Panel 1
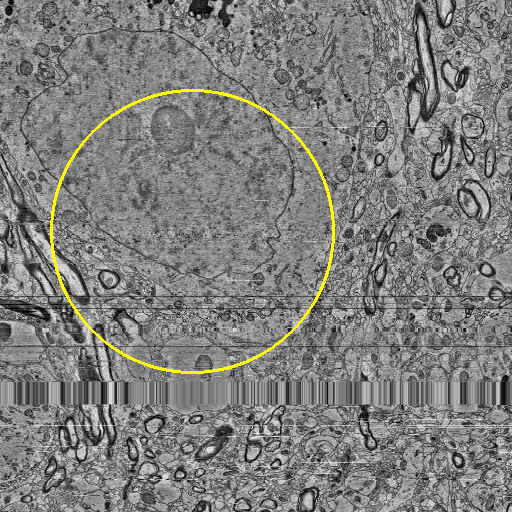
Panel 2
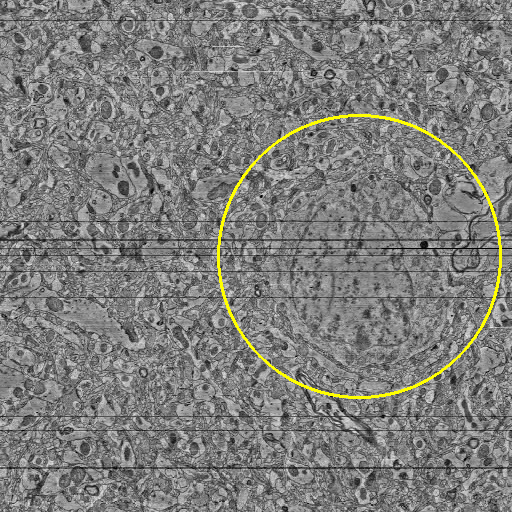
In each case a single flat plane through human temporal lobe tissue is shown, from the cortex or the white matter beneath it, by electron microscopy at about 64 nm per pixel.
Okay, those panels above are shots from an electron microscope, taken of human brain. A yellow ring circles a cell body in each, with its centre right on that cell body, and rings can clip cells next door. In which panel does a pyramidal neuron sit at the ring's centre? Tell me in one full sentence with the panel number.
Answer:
The cell you asked for sits at the ring's centre in panel 1.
